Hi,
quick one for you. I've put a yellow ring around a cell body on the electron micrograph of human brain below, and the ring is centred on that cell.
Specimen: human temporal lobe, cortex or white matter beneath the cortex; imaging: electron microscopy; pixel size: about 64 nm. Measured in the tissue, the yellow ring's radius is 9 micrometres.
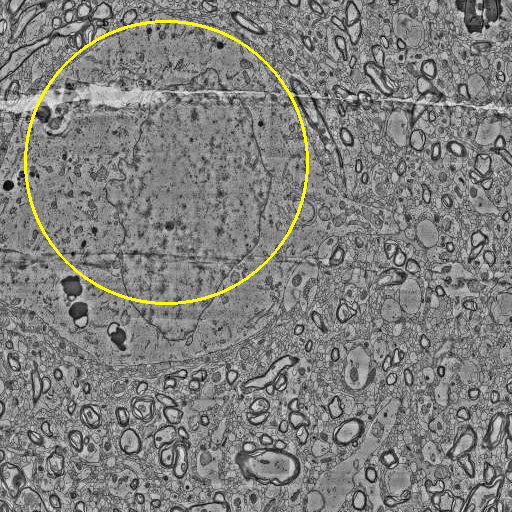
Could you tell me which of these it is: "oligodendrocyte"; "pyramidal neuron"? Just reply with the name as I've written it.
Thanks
pyramidal neuron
